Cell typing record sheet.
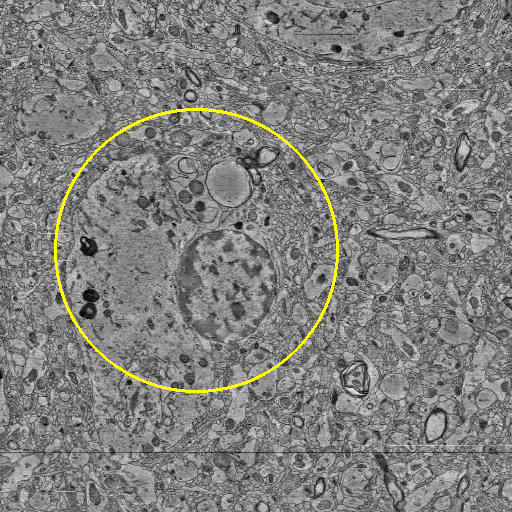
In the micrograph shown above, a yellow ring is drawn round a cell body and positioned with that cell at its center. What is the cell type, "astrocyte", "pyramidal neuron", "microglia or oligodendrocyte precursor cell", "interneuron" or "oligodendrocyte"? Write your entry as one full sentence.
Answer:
The cell body at the center of the ring belongs to a microglial cell or oligodendrocyte precursor cell.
